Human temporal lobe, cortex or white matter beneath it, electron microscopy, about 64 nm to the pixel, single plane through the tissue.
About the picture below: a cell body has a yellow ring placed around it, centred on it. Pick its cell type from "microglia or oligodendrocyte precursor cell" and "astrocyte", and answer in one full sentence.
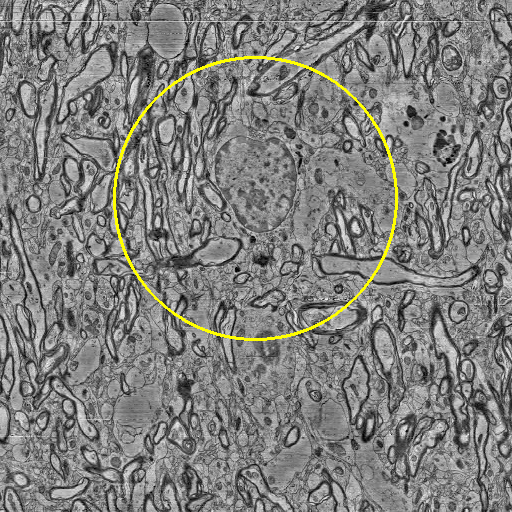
In the picture, a microglial cell or oligodendrocyte precursor cell is the cell sitting at the centre of the yellow ring.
